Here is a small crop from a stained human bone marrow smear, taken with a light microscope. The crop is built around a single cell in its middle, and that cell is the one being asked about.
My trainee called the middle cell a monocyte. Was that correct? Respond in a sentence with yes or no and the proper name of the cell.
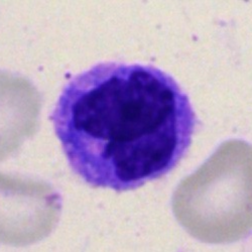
Yes, this is a monocyte, the cell in the middle of the crop.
